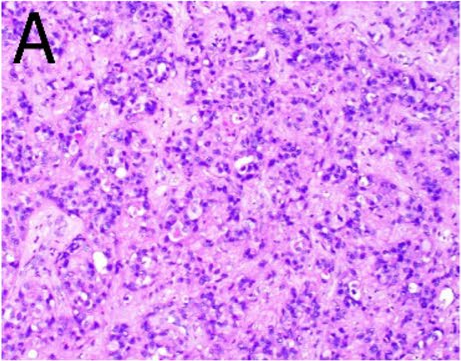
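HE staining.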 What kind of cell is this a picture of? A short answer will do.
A: Epithelioid tumor cells.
